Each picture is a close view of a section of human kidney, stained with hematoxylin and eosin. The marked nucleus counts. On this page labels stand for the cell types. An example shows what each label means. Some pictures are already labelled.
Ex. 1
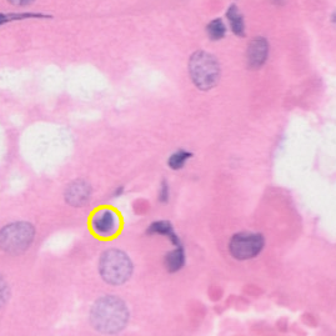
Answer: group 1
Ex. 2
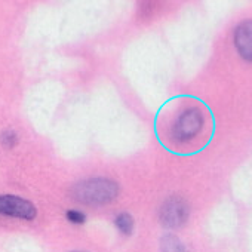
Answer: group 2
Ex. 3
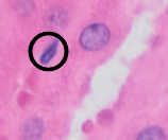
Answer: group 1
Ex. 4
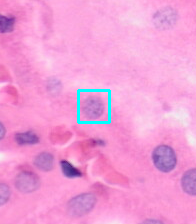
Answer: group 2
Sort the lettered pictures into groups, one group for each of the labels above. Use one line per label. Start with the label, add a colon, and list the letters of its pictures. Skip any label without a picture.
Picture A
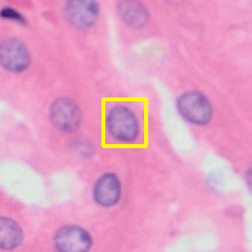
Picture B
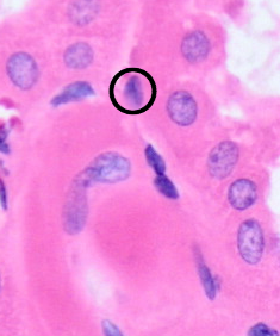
group 1: B
group 2: A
